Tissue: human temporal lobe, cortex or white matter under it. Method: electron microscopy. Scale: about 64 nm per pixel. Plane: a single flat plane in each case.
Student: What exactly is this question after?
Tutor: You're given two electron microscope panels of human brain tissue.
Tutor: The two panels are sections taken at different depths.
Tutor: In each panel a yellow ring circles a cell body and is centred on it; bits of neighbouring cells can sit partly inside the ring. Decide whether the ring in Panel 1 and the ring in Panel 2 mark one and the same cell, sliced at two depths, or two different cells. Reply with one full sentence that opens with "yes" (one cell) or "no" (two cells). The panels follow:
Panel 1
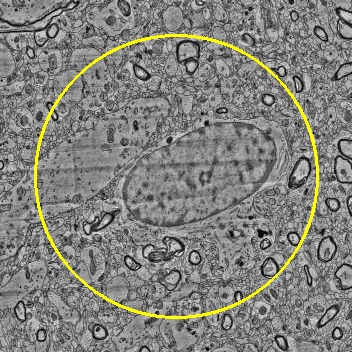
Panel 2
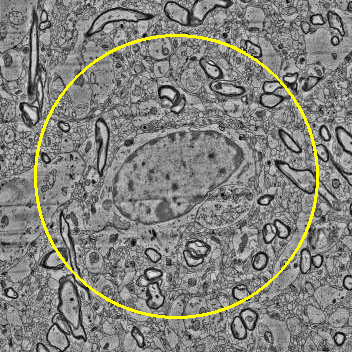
Yes, the same cell appears within both yellow rings.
